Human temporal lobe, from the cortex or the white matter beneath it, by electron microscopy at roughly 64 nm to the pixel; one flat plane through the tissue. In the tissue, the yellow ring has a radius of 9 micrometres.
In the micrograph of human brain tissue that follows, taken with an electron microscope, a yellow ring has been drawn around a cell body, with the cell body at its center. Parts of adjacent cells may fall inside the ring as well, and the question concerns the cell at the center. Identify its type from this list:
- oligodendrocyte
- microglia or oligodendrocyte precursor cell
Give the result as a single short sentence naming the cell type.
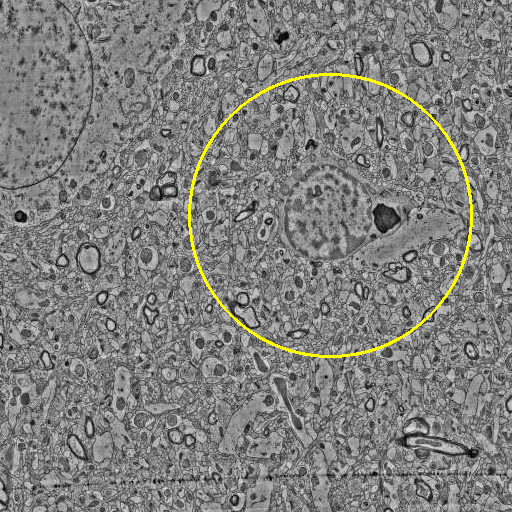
The ring is centered on an oligodendrocyte.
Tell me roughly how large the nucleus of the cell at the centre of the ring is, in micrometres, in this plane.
In this plane, the nucleus of the cell at the centre of the ring is about 6 micrometres across.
